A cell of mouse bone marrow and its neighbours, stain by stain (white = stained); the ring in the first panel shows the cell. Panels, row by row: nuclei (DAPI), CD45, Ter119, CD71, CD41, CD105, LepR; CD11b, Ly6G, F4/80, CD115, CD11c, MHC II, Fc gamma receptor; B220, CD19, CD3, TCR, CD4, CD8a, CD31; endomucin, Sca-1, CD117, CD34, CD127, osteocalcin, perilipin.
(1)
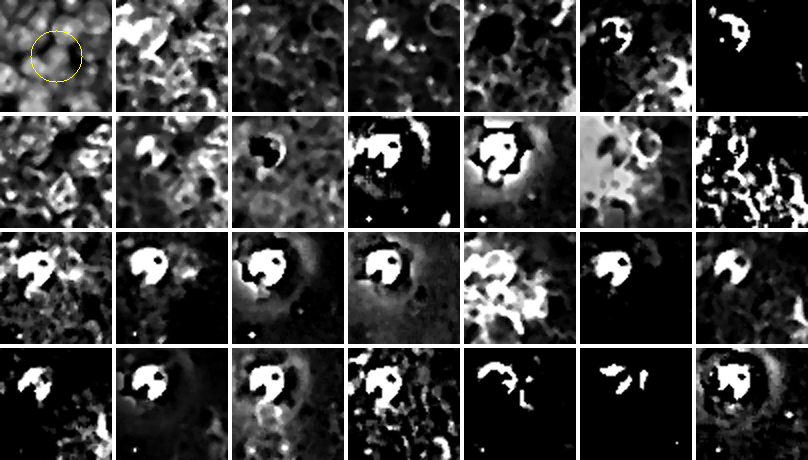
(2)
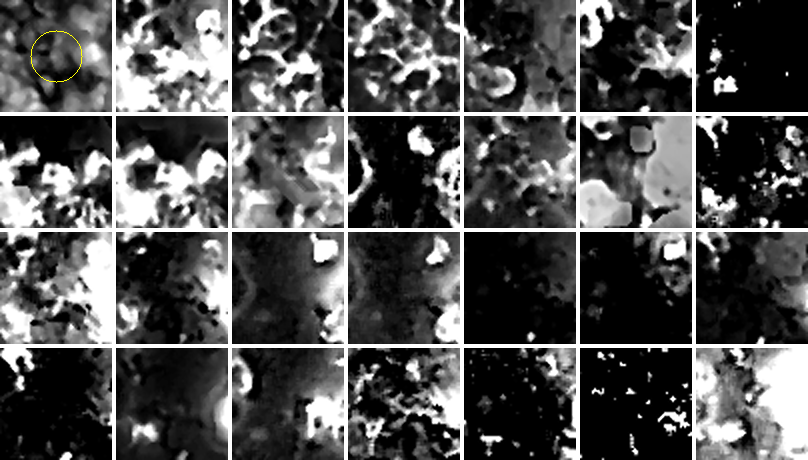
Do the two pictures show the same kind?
Yes, both are conventional dendritic cells.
